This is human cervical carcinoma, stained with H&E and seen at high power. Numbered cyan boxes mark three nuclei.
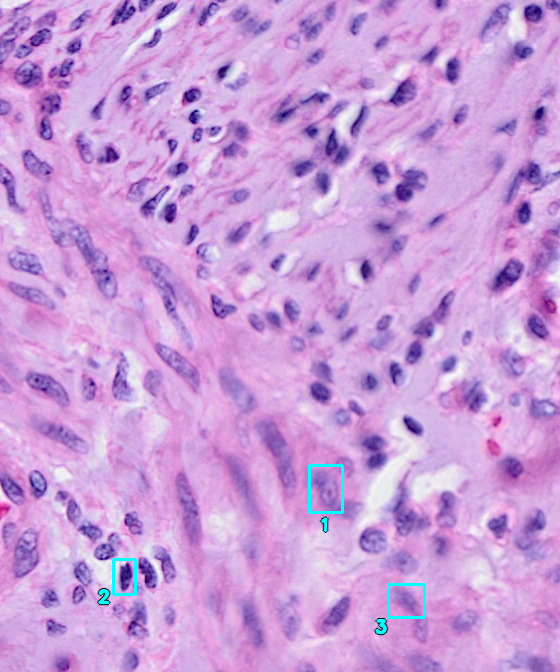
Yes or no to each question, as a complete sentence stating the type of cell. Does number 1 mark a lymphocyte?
No, the cell that carries number 1 is a smooth muscle cell, not a lymphocyte.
